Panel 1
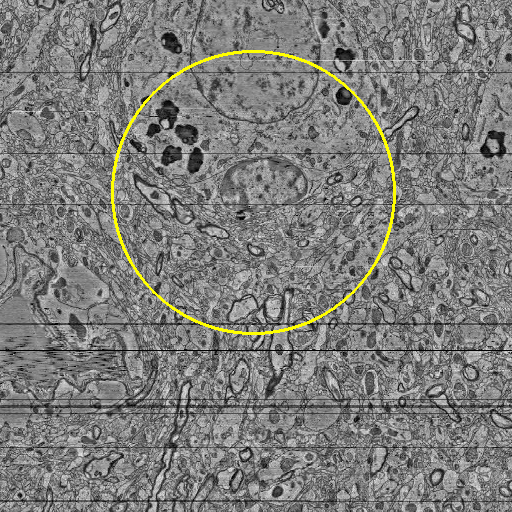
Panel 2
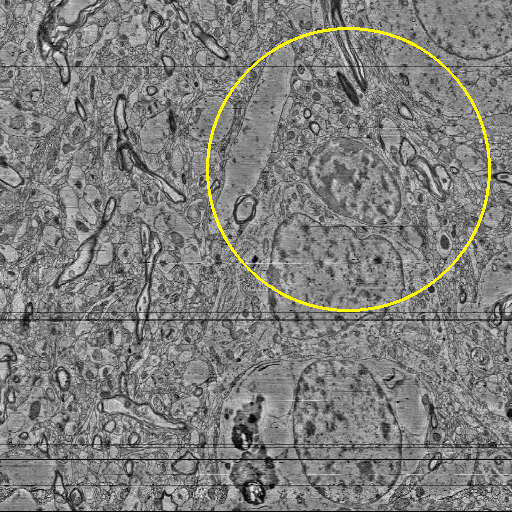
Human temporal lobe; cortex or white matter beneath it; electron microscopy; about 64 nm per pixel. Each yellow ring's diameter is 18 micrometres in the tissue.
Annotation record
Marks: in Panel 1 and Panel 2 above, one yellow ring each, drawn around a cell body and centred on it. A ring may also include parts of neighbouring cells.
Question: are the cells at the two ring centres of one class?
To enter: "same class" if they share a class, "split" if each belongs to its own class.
split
